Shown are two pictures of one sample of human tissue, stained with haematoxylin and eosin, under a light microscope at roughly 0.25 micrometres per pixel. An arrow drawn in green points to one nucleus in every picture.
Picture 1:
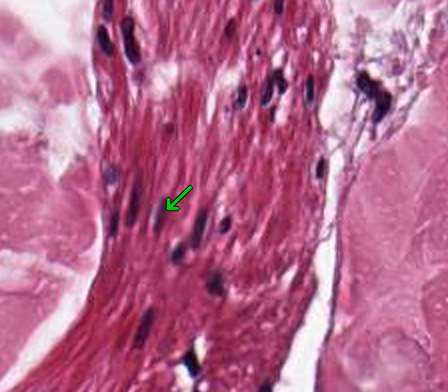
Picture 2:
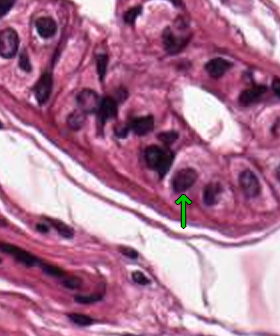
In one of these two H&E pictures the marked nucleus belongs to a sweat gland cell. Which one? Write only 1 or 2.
2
